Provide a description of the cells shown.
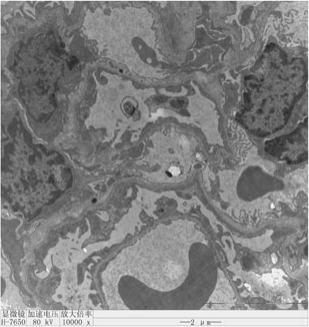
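This electron micrograph shows glomerular capillary loops with the cells around them. Several capillary lumina hold dark red blood cells. Their walls are wavy, with dense basement membrane bands of uneven thickness. On the outer side, the covering cell cytoplasm lies as broad, flattened sheets rather than a row of separate foot processes. Cells with large, irregular nuclei and patchy chromatin sit at the edges of the field.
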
